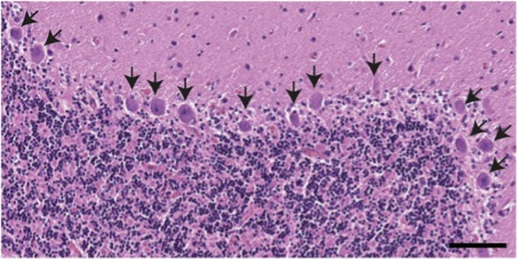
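This section of cerebellar cortex shows a row of large Purkinje cells lying at the border between the pale pink molecular layer above and the granular layer below. The Purkinje cell bodies are large, rounded to flask-shaped and pink-purple, set in a single row that follows the curve of the folium. Beneath them the granular layer is packed with small, round, dark purple nuclei of granule cells, while the molecular layer above is fibrous and pale with only scattered small nuclei.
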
